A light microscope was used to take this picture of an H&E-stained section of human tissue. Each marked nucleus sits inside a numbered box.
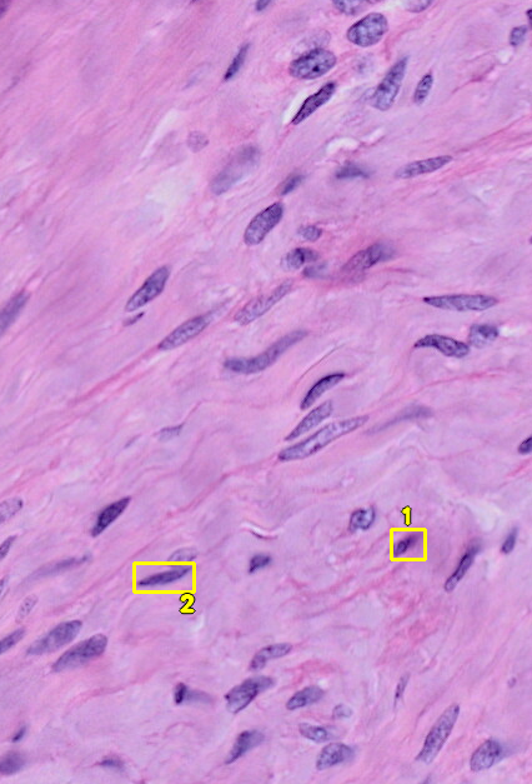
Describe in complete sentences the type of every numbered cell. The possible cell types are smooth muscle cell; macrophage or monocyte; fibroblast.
Cell 1 is a smooth muscle cell and cell 2 is a fibroblast.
